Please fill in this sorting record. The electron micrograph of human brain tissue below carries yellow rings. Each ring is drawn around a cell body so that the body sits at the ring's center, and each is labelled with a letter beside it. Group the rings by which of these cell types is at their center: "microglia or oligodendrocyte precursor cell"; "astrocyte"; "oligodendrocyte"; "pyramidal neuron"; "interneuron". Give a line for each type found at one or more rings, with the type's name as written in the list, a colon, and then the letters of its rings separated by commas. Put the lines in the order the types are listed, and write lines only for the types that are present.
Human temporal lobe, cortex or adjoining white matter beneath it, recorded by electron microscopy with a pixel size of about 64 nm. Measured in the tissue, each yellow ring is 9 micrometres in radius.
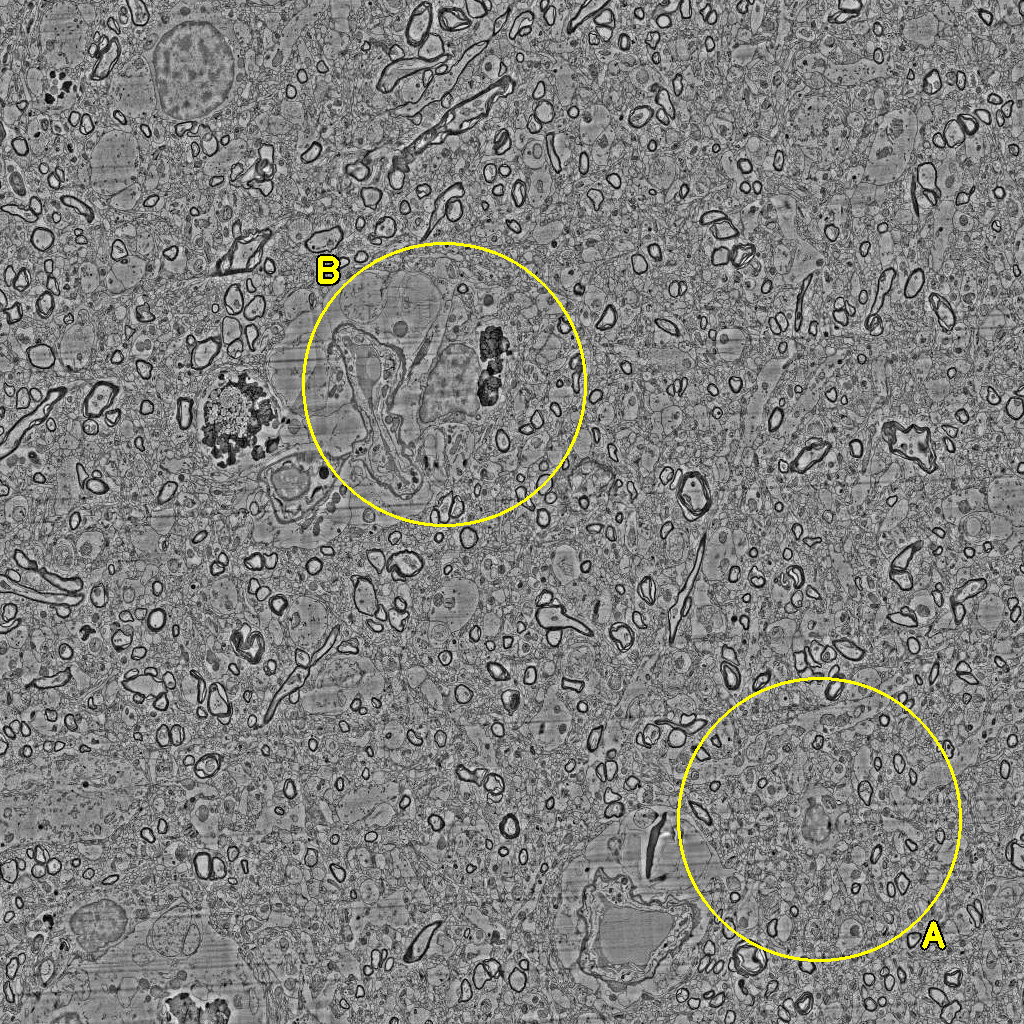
oligodendrocyte: A, B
